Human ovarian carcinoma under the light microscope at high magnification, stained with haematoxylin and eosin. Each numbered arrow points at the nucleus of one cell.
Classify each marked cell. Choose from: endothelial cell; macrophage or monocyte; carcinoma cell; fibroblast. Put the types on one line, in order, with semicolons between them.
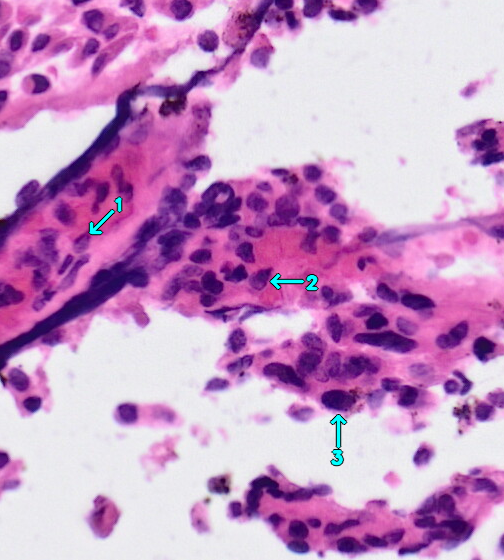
endothelial cell; endothelial cell; carcinoma cell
